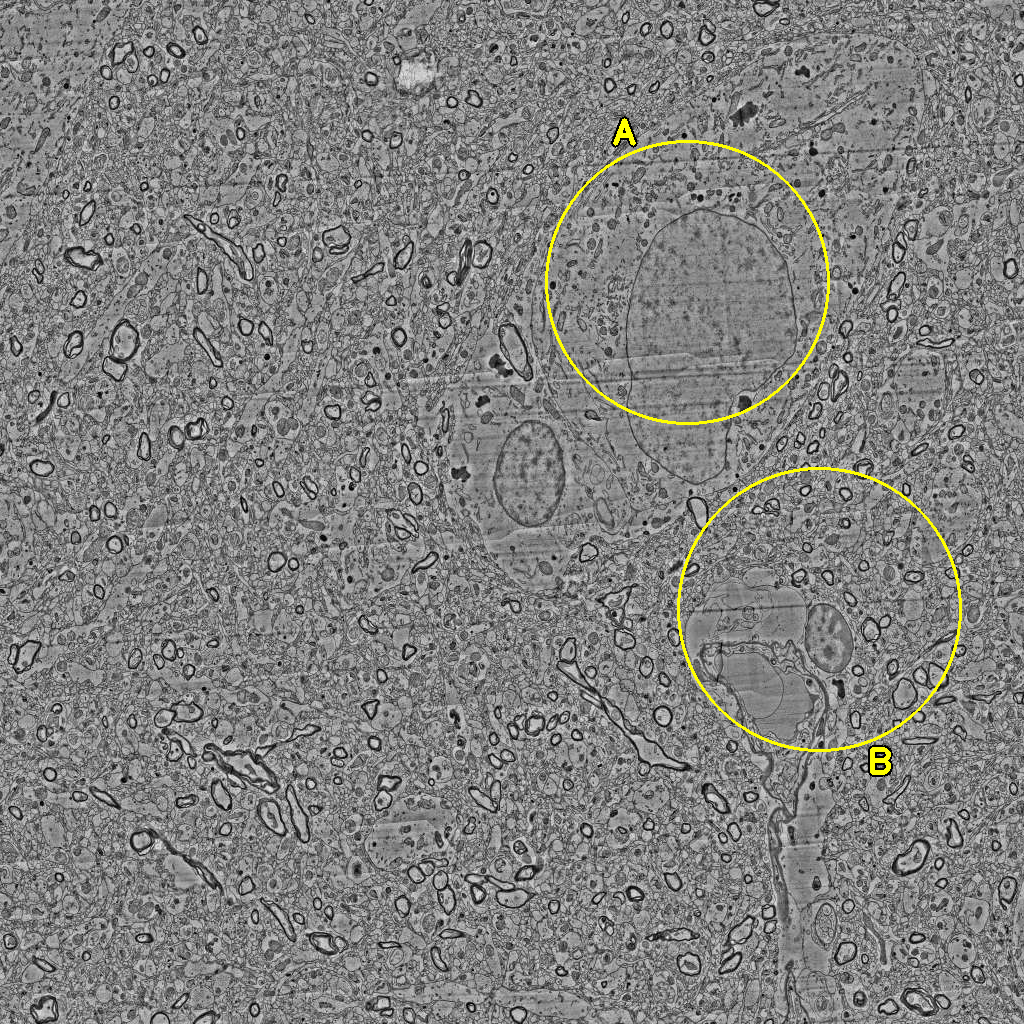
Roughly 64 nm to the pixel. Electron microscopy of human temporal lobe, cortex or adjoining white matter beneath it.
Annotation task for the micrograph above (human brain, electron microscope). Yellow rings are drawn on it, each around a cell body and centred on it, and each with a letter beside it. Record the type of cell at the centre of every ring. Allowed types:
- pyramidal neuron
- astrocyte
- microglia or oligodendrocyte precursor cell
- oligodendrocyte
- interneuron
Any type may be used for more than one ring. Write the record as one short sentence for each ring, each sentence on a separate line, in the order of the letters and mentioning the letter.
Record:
The cell centred in ring A is a pyramidal neuron.
The cell centred in ring B is a microglial cell or oligodendrocyte precursor cell.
